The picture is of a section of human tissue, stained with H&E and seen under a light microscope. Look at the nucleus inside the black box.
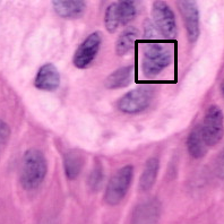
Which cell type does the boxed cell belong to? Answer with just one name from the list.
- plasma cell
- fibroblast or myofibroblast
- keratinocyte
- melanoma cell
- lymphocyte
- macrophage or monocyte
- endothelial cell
endothelial cell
